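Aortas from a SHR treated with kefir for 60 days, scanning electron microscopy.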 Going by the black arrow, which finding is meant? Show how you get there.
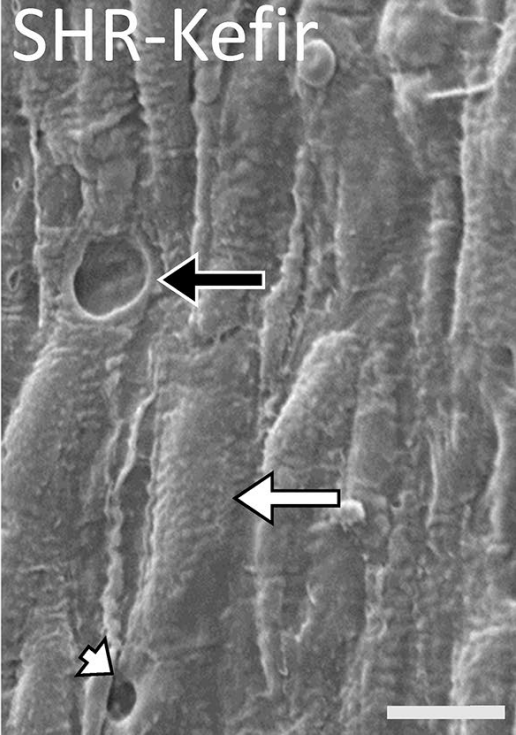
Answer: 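The arrow points to a round, dark opening in the lining between raised cells. So: gaps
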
